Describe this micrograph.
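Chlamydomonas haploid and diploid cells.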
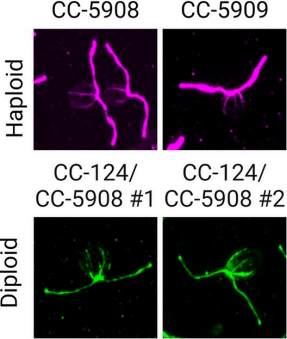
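From the base of the cilia, fine and fainter filaments fan out into the cell, marking the rootlets. The cell body itself is not outlined and is seen only as the region occupied by these radiating rootlets. The cilia of the cells in the lower row look about as long as those in the upper row.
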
